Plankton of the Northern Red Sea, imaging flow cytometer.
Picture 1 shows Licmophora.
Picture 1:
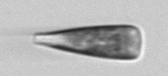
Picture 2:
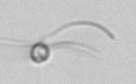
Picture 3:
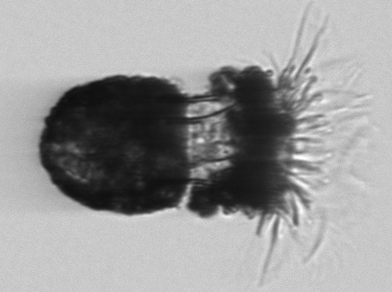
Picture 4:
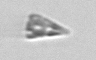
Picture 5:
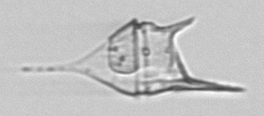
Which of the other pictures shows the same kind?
Picture 4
